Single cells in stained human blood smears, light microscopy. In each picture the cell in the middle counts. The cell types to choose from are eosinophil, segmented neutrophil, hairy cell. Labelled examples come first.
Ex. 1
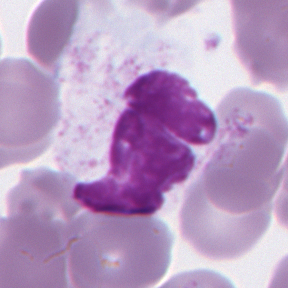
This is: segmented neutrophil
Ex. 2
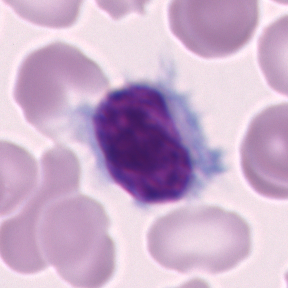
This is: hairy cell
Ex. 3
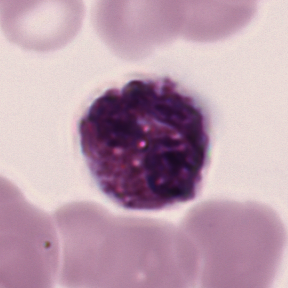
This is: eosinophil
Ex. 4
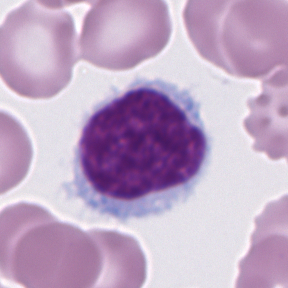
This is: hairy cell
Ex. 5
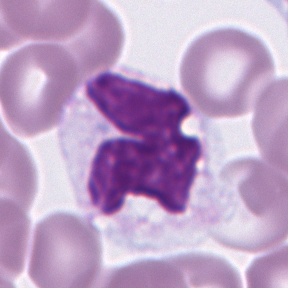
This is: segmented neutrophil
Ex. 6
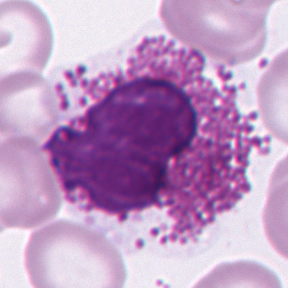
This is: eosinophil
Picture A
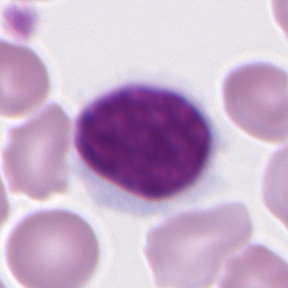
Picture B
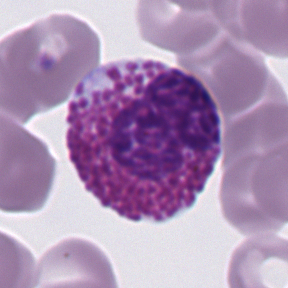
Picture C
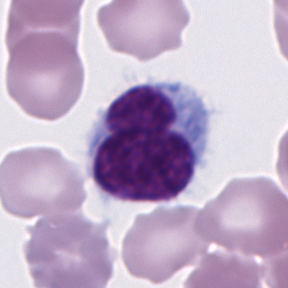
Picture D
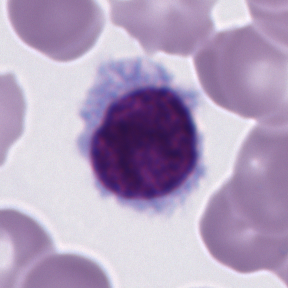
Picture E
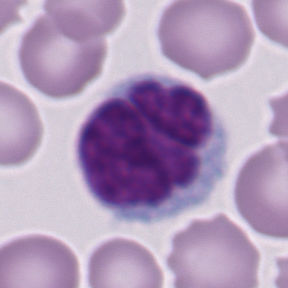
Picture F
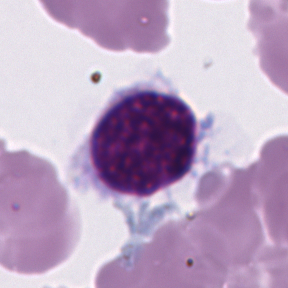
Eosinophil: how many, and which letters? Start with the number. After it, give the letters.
1: B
